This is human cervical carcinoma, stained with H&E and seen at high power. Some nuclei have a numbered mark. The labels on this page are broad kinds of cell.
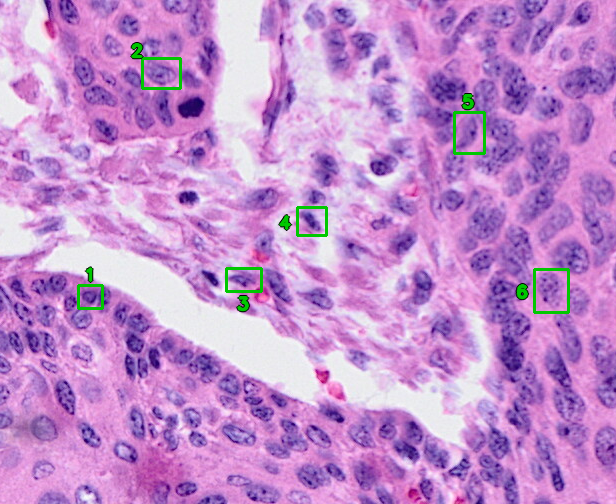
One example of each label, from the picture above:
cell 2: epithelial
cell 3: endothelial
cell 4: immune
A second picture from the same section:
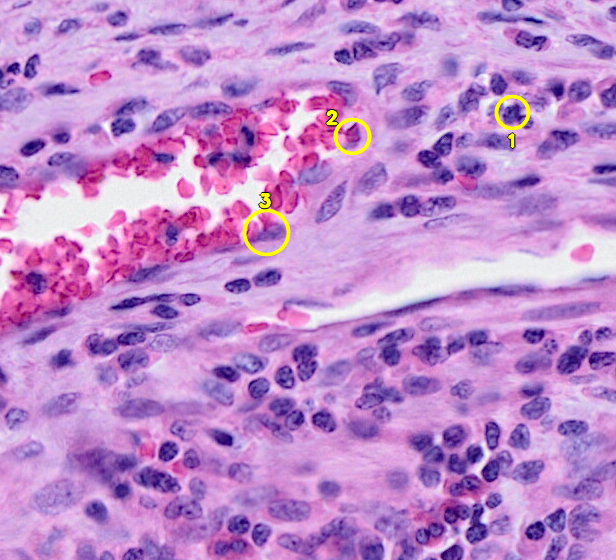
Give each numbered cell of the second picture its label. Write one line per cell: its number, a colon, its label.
1: immune
2: endothelial
3: endothelial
